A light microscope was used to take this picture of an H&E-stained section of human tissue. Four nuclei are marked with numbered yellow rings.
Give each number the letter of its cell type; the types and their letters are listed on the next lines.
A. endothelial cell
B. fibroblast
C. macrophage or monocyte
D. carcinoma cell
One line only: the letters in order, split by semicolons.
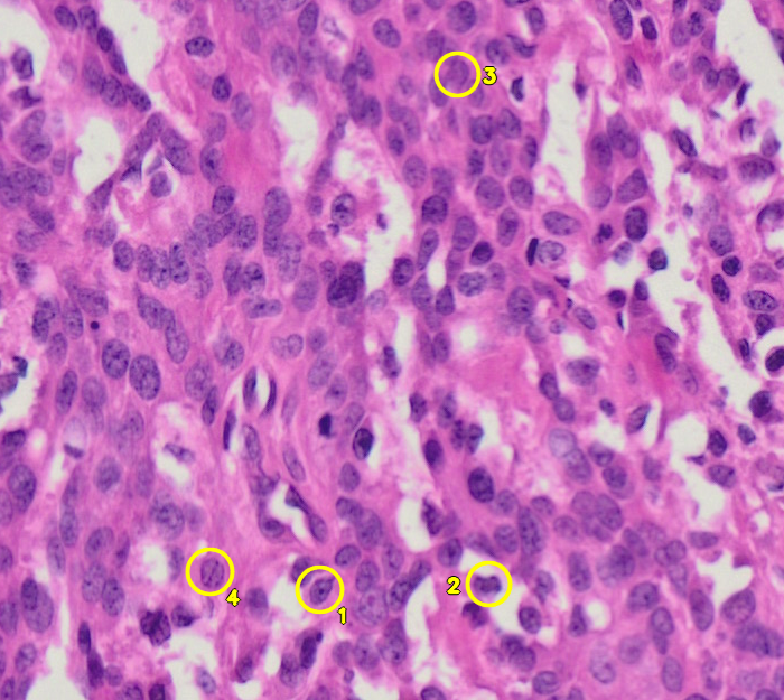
C; D; D; C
